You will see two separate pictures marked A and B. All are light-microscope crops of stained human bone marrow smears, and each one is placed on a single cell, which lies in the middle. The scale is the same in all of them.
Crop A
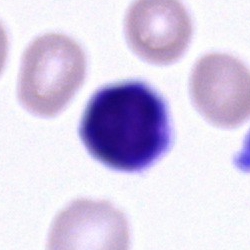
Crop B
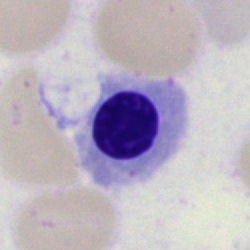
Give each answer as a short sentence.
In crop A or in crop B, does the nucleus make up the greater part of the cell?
In crop A the nucleus takes up the larger part of its cell.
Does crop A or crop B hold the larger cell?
It is the cell in crop B, about 1.5 times as large in area as the cell in crop A.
